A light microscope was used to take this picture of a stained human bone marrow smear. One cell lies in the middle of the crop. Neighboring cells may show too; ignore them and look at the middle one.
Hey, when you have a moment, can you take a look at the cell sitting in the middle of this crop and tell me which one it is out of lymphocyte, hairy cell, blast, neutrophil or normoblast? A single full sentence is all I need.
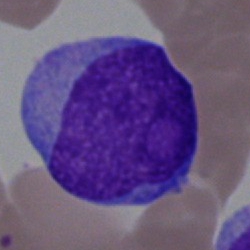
Where the crop is centred, there is a blast.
